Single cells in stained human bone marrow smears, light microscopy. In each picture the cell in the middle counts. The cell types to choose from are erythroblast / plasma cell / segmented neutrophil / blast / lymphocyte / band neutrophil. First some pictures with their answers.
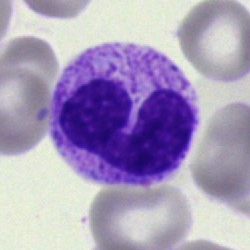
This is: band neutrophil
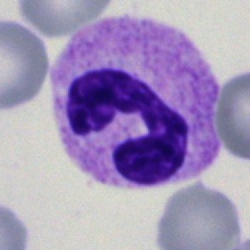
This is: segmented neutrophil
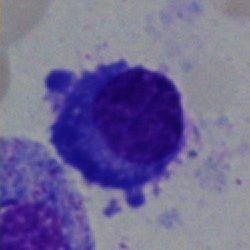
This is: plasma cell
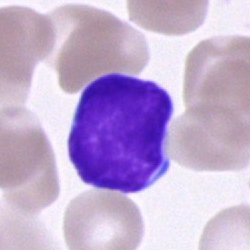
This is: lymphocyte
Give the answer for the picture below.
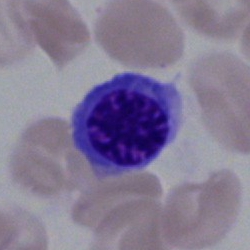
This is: erythroblast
